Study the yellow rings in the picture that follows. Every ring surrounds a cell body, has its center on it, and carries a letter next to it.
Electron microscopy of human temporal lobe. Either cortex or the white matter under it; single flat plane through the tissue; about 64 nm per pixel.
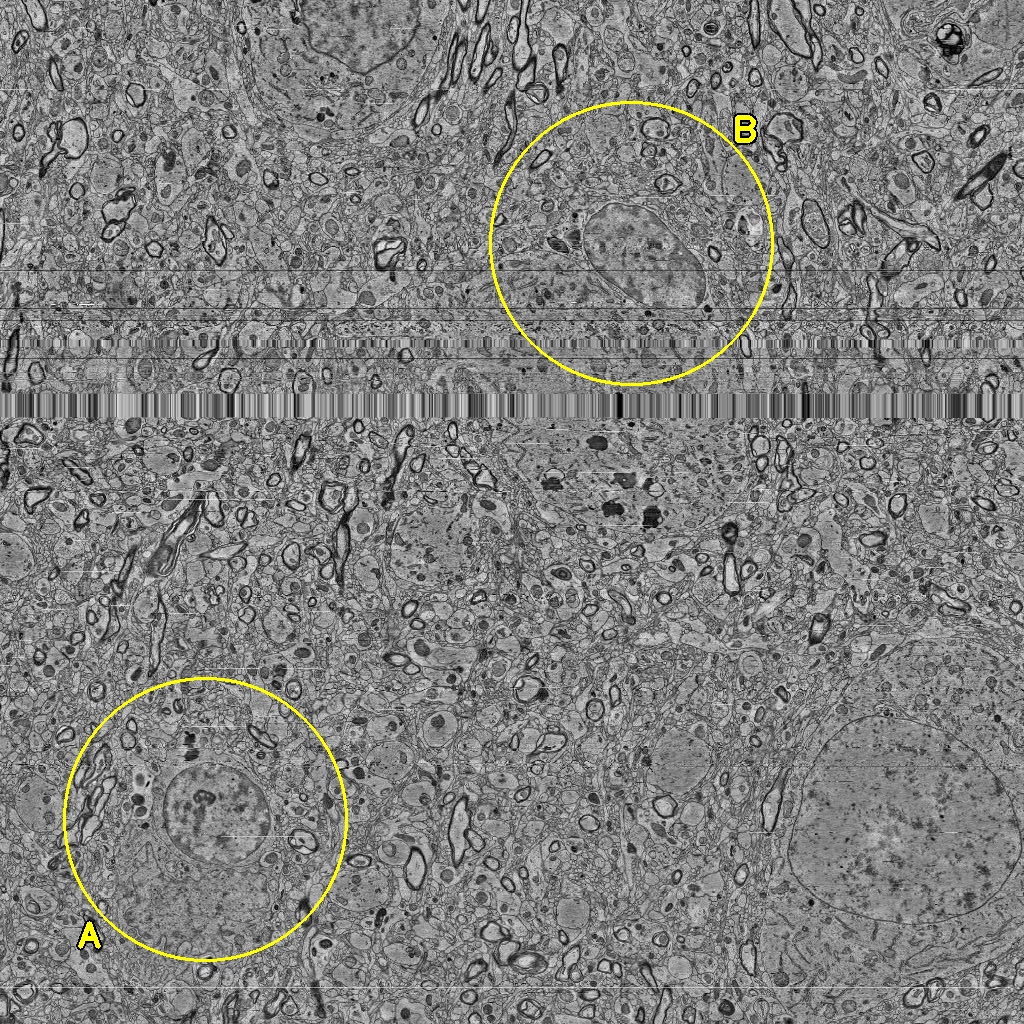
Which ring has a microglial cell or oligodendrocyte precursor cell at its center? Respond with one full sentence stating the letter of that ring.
The ring centered on the cell asked for carries the letter B.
